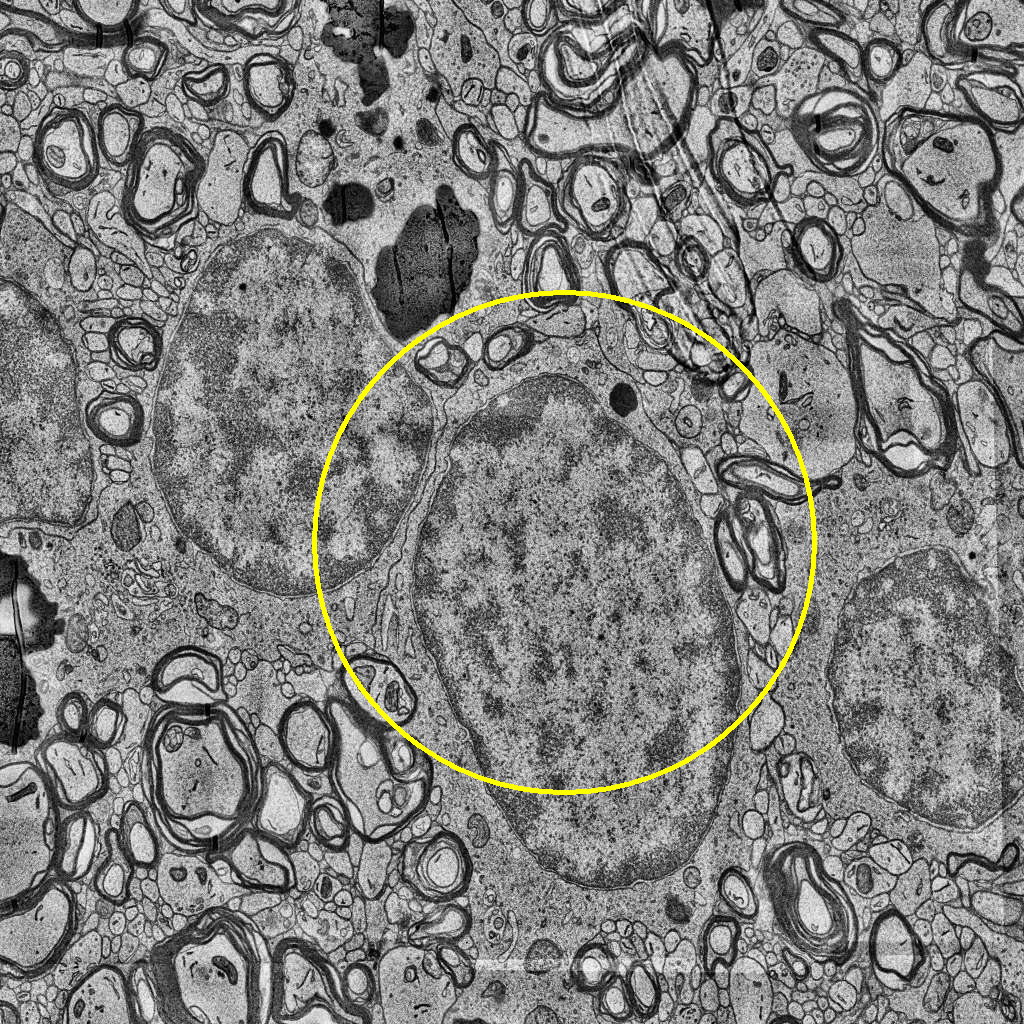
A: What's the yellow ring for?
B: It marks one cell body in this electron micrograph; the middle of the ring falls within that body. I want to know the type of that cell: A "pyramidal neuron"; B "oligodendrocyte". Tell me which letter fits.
B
